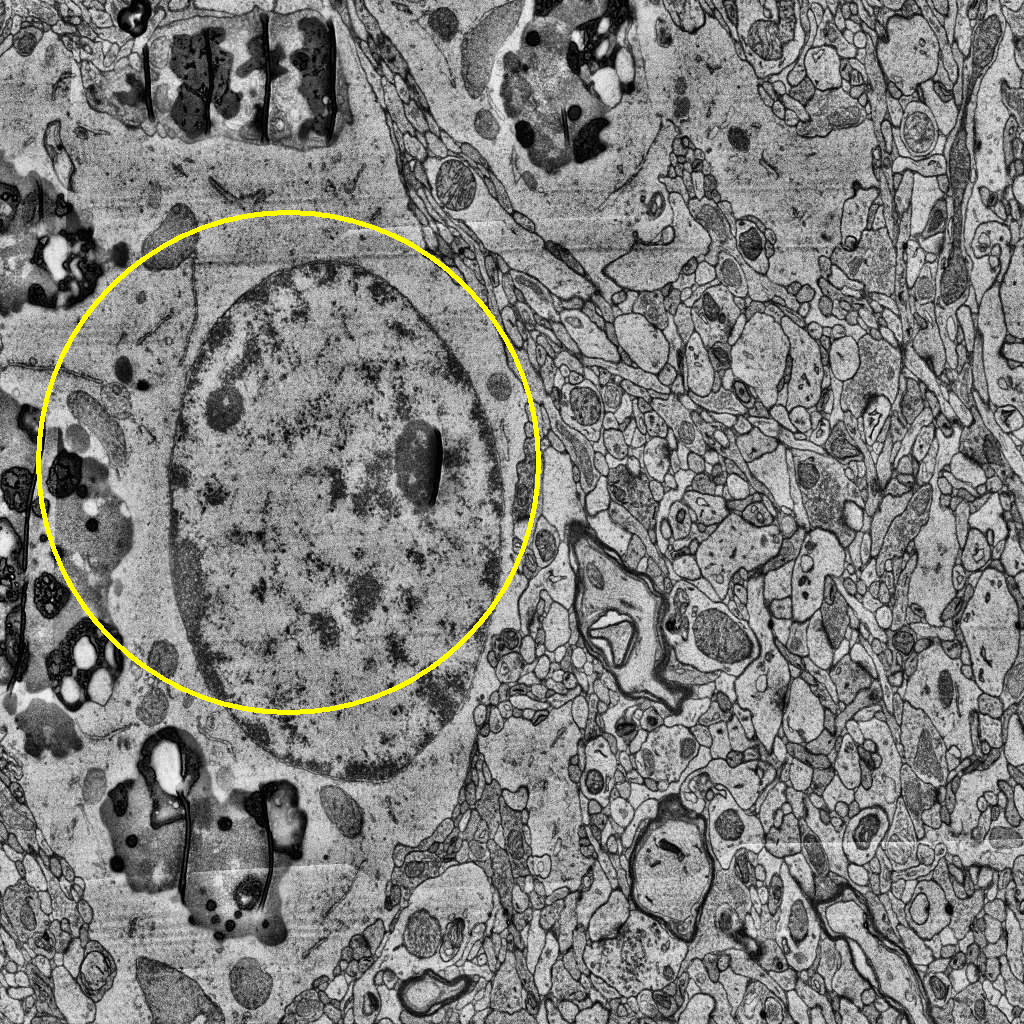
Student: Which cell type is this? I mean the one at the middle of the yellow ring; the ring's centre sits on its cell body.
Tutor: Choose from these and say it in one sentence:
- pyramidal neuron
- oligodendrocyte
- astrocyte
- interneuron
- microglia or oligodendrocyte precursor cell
The cell at the ring's centre is an astrocyte.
